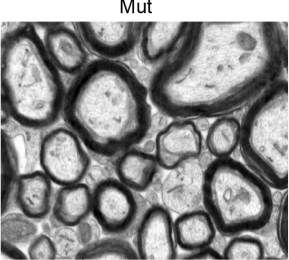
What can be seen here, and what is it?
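This electron micrograph shows a cross-section through white matter, crowded with transversely cut myelinated axons. Axons of many sizes lie packed together, the largest ones toward the top and right of the field. Each has a pale grey, finely granular interior surrounded by a dark compact ring of myelin. Smaller axons with their own dark rings fill the spaces between the larger ones. Little space separates neighbouring sheaths.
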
